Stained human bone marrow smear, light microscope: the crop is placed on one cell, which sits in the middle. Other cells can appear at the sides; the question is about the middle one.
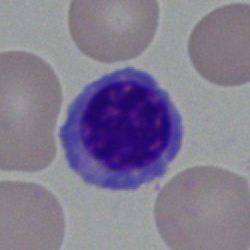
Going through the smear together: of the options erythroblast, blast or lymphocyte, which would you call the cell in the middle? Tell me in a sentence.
Here the cell in the middle is an erythroblast.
